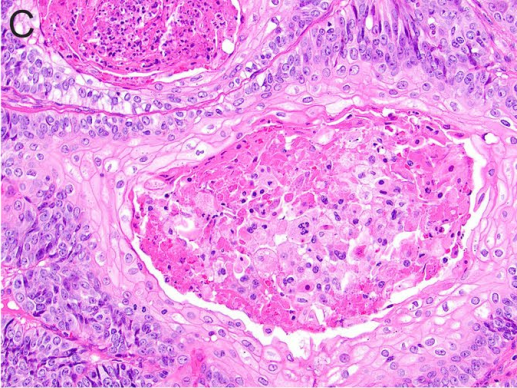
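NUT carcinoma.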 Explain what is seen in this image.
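Tumour nests show abrupt keratinization with squamous differentiation. A large central nest contains dense pink keratinized material with scattered cellular debris, separated from the surrounding tumour by a clear cleft. Around it lie larger cells with abundant pale-pink eosinophilic cytoplasm and distinct borders. At the periphery of the nests the cells are smaller and darker, with crowded basophilic nuclei. Another keratinized focus appears at the top of the field.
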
